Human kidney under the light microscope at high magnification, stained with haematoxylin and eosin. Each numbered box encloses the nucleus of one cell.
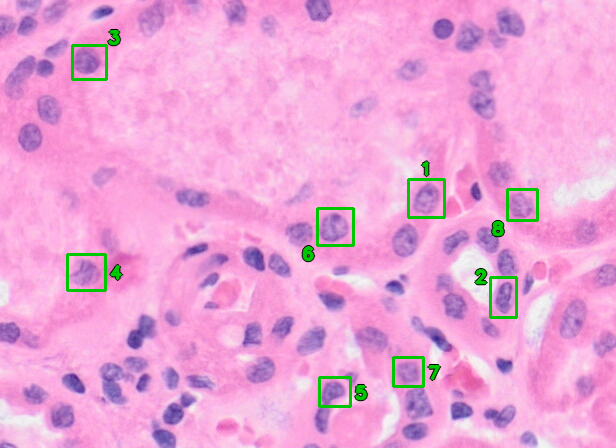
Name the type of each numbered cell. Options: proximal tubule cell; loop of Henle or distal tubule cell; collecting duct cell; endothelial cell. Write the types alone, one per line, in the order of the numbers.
proximal tubule cell
collecting duct cell
proximal tubule cell
proximal tubule cell
collecting duct cell
proximal tubule cell
collecting duct cell
proximal tubule cell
